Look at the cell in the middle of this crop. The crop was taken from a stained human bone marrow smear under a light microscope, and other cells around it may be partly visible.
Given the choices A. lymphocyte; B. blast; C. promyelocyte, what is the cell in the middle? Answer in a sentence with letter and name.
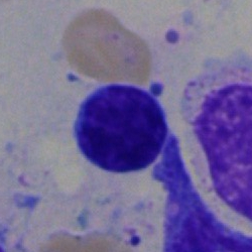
The centrally positioned cell is a lymphocyte, consistent with option A, which is correct.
